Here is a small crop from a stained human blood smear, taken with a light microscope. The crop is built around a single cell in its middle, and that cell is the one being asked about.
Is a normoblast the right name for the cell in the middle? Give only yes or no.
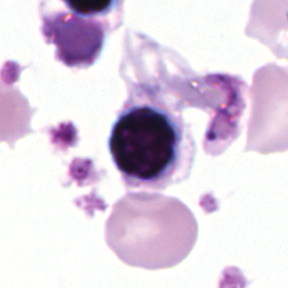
yes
